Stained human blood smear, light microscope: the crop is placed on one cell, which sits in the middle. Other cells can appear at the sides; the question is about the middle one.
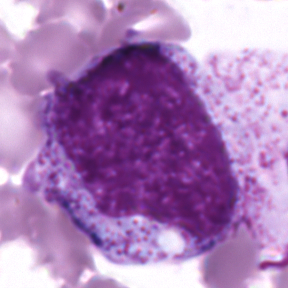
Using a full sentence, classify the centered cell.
The cell around which this crop is centred is a myelocyte.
